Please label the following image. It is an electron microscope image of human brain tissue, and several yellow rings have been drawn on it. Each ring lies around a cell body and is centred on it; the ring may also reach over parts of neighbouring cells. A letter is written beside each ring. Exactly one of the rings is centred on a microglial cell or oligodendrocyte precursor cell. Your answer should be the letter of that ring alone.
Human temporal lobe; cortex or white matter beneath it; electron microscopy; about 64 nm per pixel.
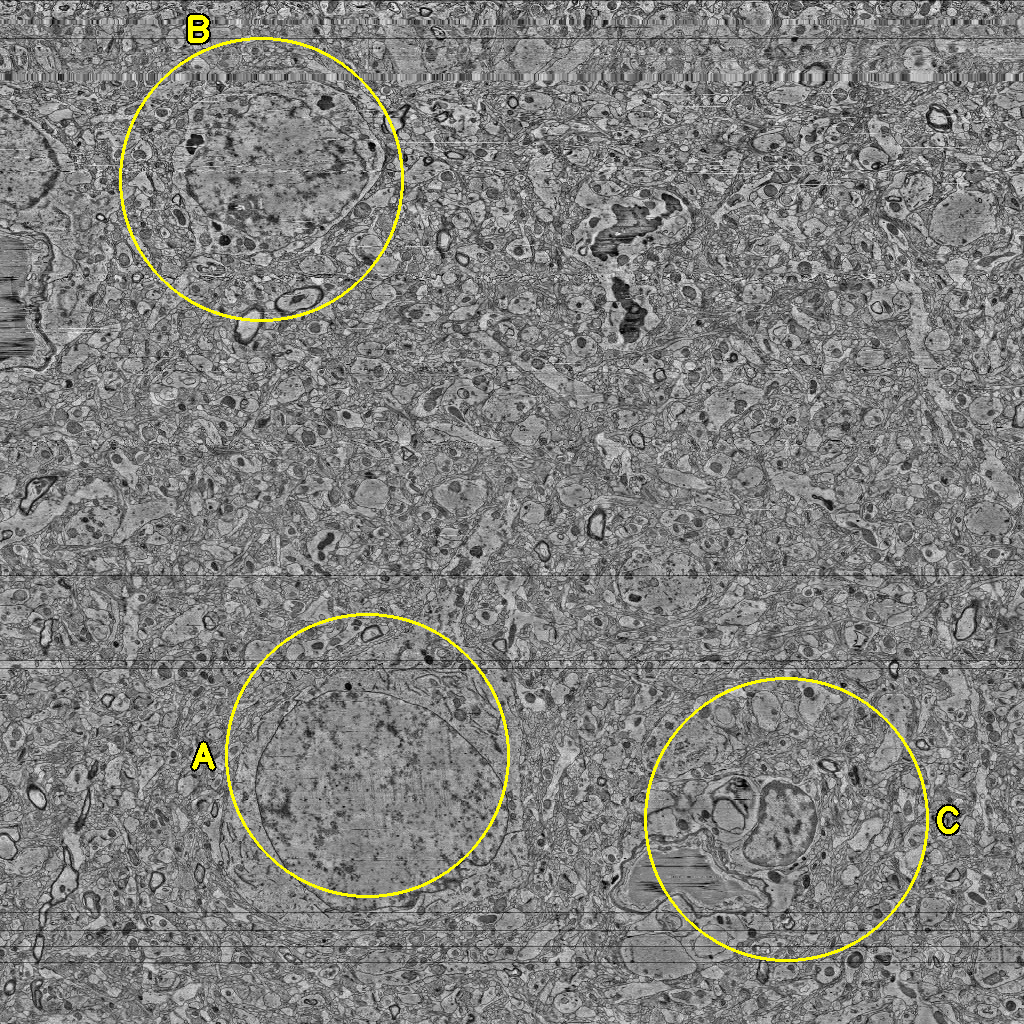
C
